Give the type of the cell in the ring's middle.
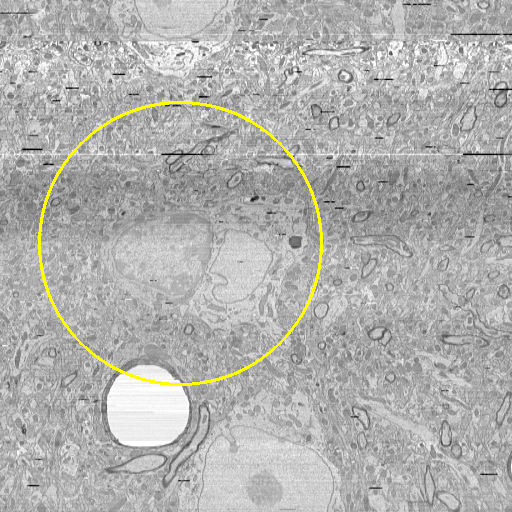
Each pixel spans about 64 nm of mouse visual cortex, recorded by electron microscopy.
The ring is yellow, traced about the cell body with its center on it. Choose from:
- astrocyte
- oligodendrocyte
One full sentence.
Here, an oligodendrocyte is the cell lying at the center of the yellow ring.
